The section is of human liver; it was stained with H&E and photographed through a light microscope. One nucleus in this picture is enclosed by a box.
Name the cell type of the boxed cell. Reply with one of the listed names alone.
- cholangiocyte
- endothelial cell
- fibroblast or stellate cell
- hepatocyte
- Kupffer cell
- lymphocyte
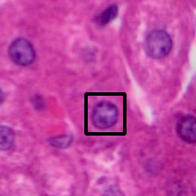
hepatocyte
